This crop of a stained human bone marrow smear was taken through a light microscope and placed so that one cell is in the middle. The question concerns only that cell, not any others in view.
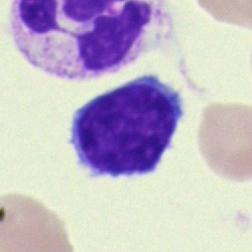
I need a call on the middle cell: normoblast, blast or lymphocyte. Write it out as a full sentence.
The cell nearest the centre of this crop is a lymphocyte.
